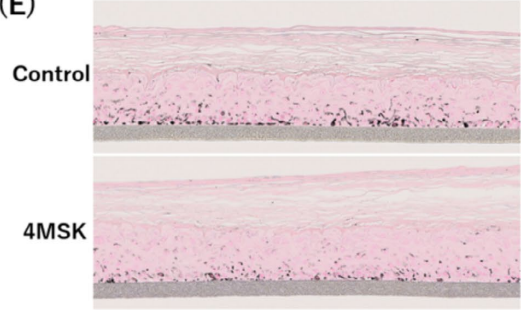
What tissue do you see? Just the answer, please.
epidermal equivalents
